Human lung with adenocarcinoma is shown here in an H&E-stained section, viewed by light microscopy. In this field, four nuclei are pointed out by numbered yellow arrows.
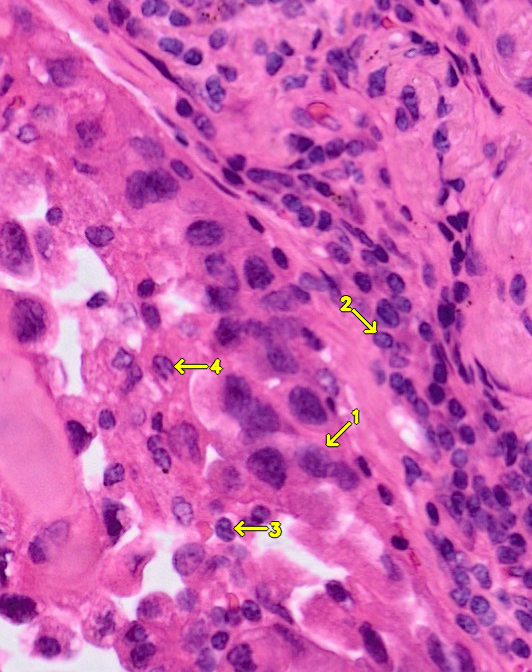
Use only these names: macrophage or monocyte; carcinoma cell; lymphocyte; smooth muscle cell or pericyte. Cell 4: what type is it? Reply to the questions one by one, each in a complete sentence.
Among the marked nuclei, number 4 belongs to a macrophage or monocyte.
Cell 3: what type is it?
The marked nucleus 3 is that of a lymphocyte.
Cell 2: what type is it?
Belonging to a lymphocyte is the nucleus that carries the number 2.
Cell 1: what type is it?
The nucleus labelled 1 belongs to a carcinoma cell.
